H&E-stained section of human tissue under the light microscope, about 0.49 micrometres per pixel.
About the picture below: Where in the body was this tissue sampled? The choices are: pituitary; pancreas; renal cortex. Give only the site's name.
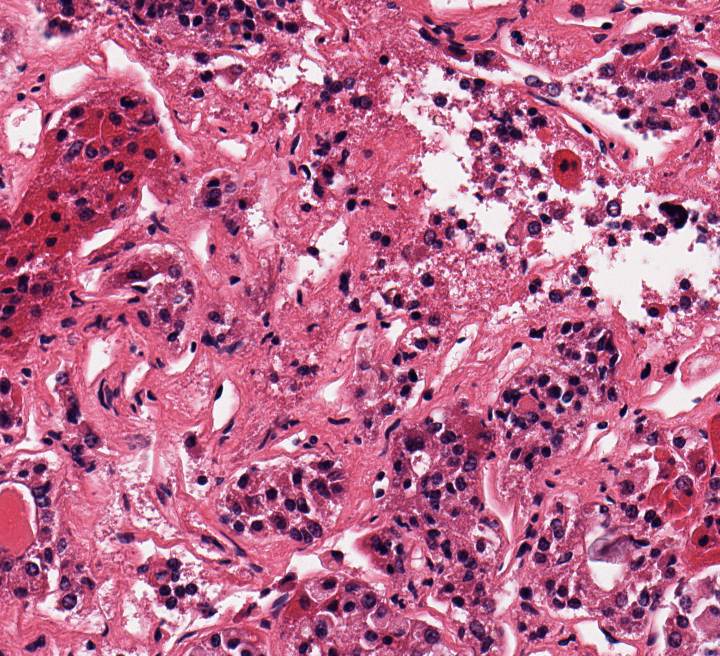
pituitary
